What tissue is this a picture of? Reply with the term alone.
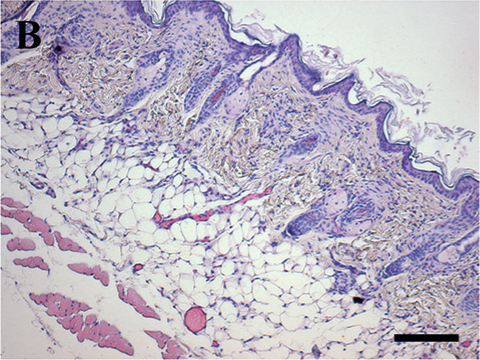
Skin.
